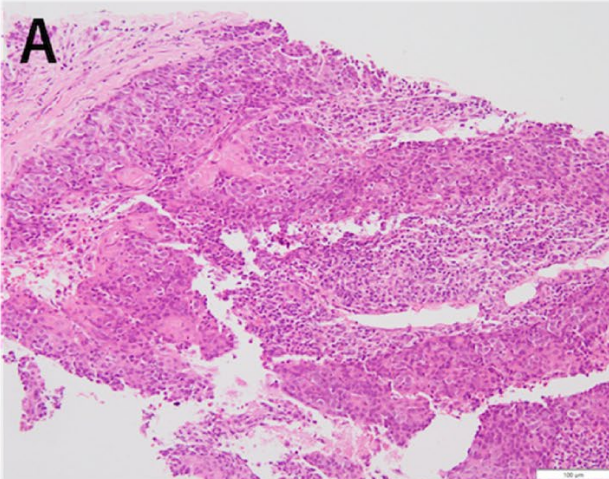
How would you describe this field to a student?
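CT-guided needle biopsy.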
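The tumor cells are polygonal with pink eosinophilic cytoplasm and are packed closely side by side in a cobblestone pattern. Within the nests there are patches of denser, glassy pink cytoplasm marking keratinization, and a band of loose fibrous tissue lies along the upper left edge.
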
